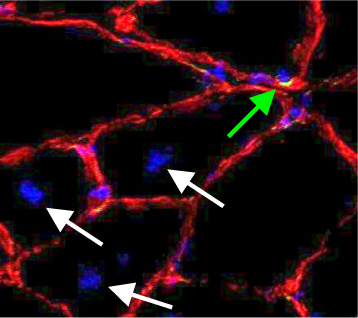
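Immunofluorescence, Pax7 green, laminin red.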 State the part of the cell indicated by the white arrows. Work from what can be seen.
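Central nuclei. The arrows point at blue nuclei lying inside the fiber outlines drawn by the red lines. Those nuclei are away from the red borders.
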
